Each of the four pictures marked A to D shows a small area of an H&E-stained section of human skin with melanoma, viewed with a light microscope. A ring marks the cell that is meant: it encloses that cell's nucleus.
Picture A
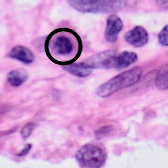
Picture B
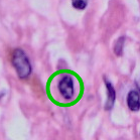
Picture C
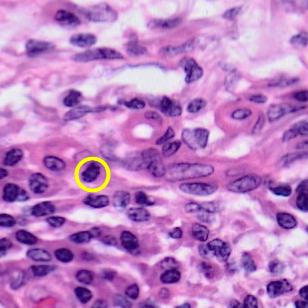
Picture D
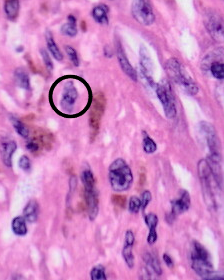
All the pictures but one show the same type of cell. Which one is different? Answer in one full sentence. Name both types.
Unlike the rest, which show plasma cells, picture D shows a lymphocyte.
